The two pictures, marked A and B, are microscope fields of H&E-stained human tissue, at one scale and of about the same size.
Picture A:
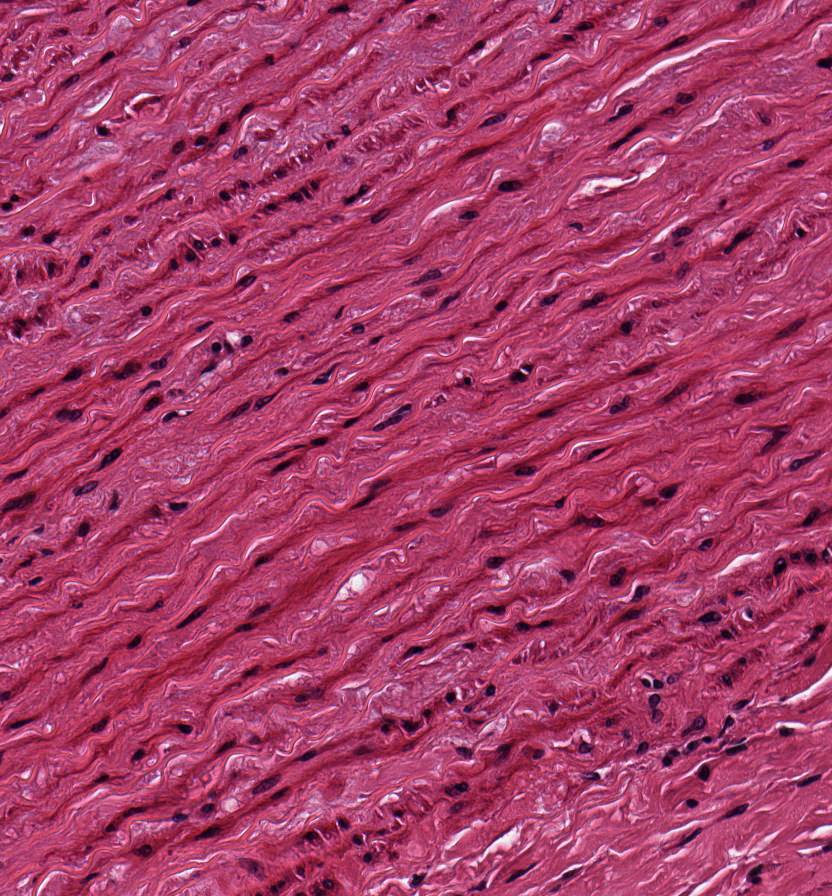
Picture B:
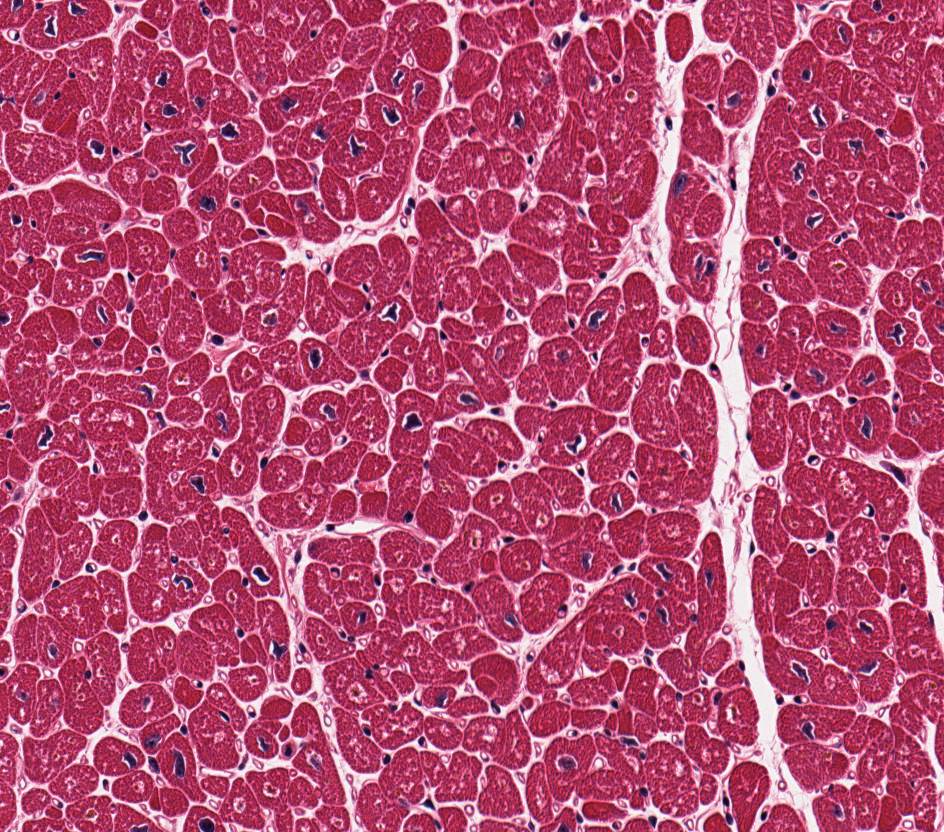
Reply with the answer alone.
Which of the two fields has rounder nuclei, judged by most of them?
B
